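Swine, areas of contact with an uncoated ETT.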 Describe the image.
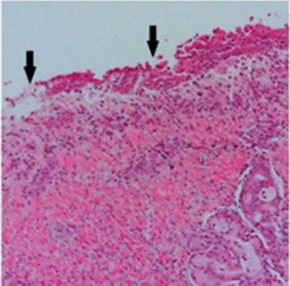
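Tracheal mucosa in which the surface epithelium is disrupted: the luminal edge is a ragged, fragmented pink layer with no orderly row of columnar cells and no ciliated fringe. The tissue beneath is crowded with many small cells in a pink stroma, and glands lie at the lower right.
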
